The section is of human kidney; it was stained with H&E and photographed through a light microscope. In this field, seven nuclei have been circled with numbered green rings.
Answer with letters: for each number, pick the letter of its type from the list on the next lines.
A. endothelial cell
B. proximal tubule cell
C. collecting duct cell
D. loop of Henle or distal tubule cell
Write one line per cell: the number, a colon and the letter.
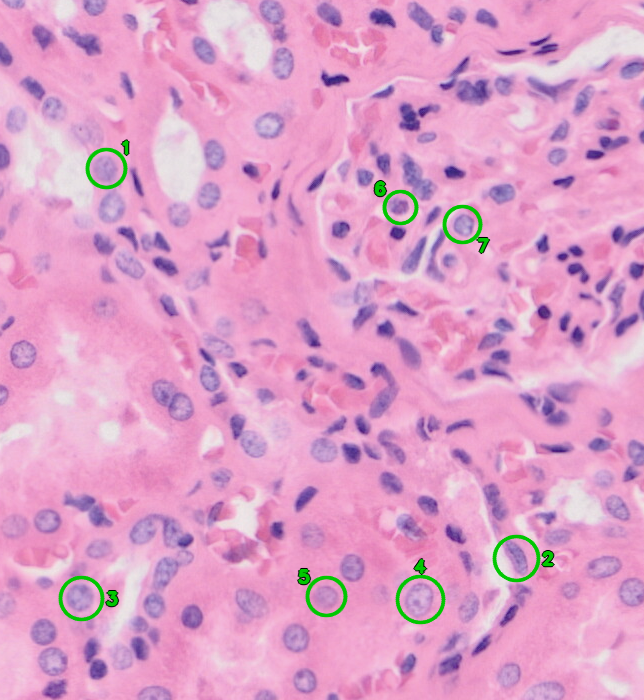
1: C
2: C
3: C
4: B
5: B
6: A
7: A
